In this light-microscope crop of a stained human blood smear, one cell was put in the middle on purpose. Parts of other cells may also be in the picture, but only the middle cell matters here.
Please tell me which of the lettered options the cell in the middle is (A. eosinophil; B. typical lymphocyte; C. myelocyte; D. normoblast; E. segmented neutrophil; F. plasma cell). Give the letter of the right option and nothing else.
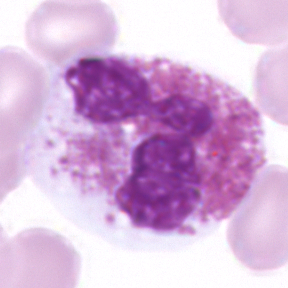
A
